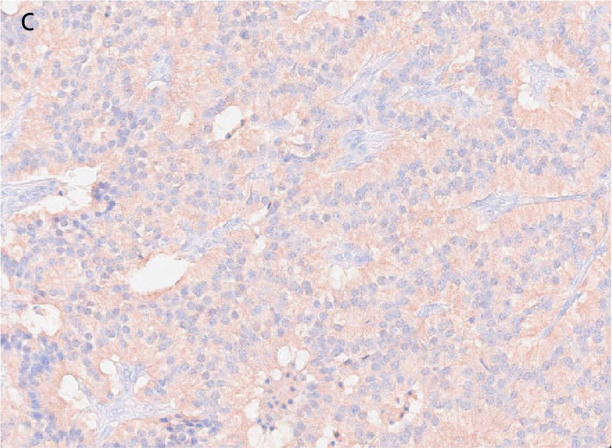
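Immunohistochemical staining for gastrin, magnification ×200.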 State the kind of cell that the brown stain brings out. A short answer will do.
Tumor cells.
